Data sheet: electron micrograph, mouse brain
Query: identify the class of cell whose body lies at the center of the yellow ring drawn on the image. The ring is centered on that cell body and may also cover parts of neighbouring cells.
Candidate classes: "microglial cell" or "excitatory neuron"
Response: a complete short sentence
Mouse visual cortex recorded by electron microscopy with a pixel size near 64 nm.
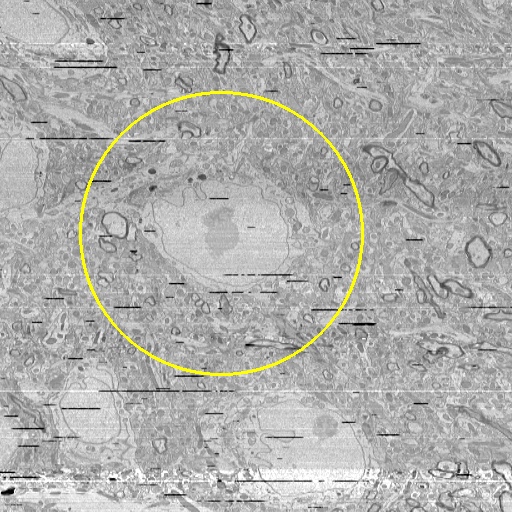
At the center of the ring lies an excitatory neuron.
